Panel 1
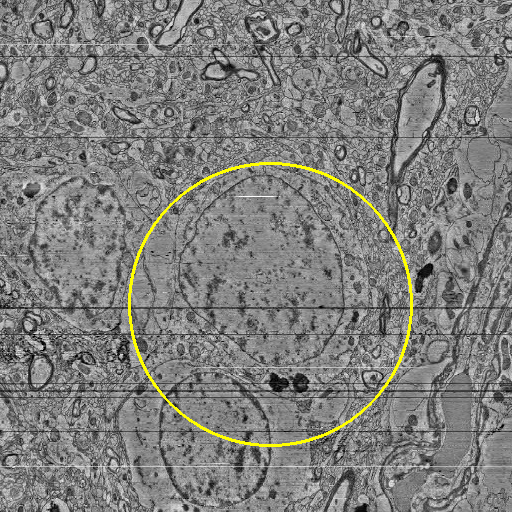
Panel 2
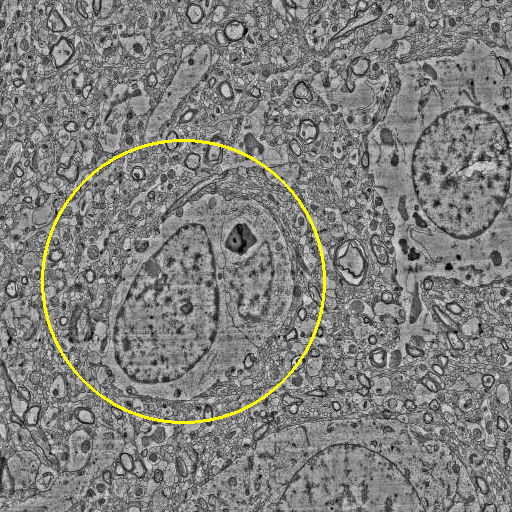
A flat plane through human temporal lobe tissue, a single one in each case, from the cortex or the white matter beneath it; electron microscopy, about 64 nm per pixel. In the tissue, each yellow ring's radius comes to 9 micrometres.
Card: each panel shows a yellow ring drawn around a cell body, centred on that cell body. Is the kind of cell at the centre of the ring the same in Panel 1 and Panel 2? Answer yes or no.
no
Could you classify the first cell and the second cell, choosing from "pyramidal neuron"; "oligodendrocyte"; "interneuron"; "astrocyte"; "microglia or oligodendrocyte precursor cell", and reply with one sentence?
The second cell is a microglial cell or oligodendrocyte precursor cell, while the first is a pyramidal neuron.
